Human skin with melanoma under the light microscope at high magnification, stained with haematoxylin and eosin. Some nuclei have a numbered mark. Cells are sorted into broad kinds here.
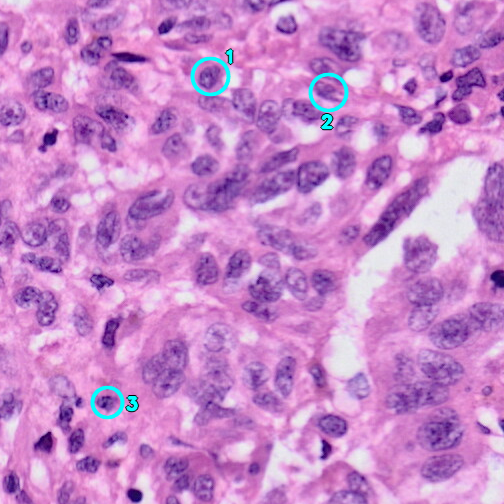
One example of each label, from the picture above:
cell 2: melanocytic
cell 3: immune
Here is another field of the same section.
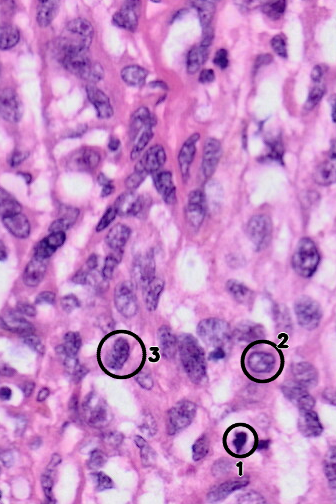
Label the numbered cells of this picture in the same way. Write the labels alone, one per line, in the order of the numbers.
immune
melanocytic
melanocytic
